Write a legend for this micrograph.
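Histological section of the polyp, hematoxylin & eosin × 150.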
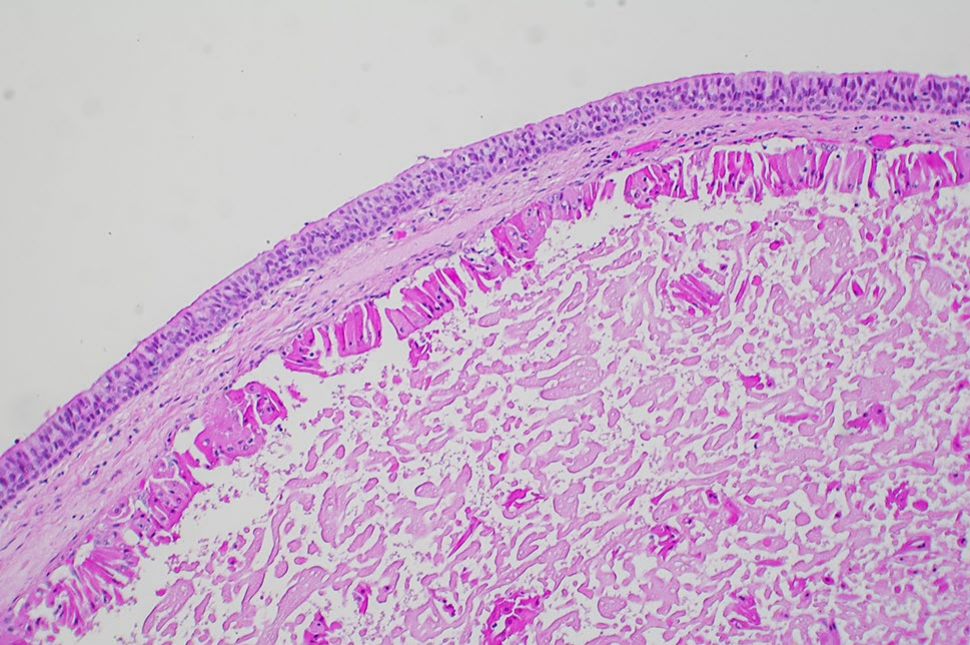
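This section shows the edge of a cystic structure covered on its outer surface by an orderly pseudostratified columnar epithelium, beneath which lies a thin fibrous wall lined on its inner side by tall columnar cells. The surface epithelium forms a continuous, even band of closely packed columnar cells whose purple nuclei lie at several levels. Under it, the fibrous wall is a narrow pale pink band with sparse elongated nuclei. The inner lining is a single row of large, tall cells with abundant, intensely pink cytoplasm, which in places appear separated or fragmented. The lumen enclosed by the wall is filled with pale pink, irregular, loosely arranged material containing scattered brighter pink fragments.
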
